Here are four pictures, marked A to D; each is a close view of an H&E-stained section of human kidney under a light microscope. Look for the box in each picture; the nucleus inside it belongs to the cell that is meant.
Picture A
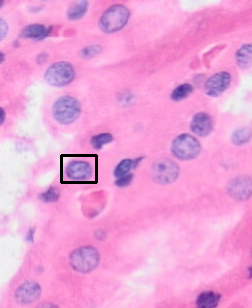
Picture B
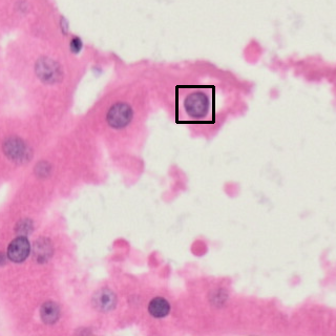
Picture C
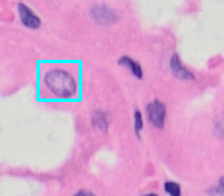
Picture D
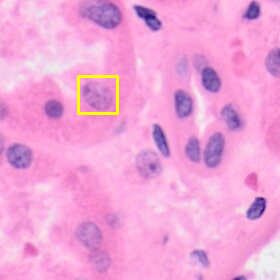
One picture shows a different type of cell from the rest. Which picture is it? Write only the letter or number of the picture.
A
